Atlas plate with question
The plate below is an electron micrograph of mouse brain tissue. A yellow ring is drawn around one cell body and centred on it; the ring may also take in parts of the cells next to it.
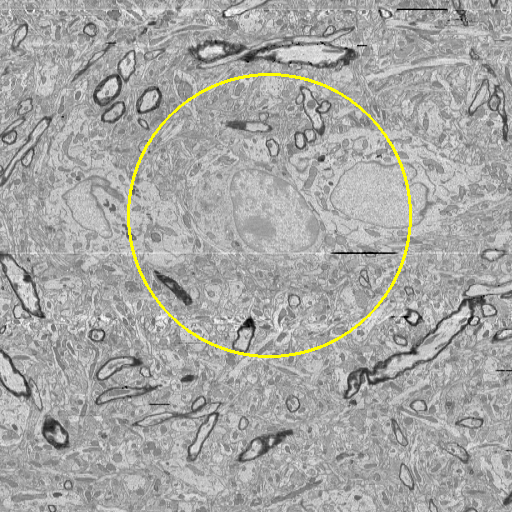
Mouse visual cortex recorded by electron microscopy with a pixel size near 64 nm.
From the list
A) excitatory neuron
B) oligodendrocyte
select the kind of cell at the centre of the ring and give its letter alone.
B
